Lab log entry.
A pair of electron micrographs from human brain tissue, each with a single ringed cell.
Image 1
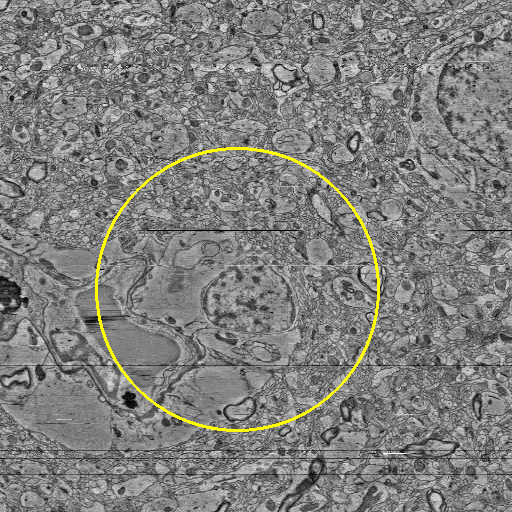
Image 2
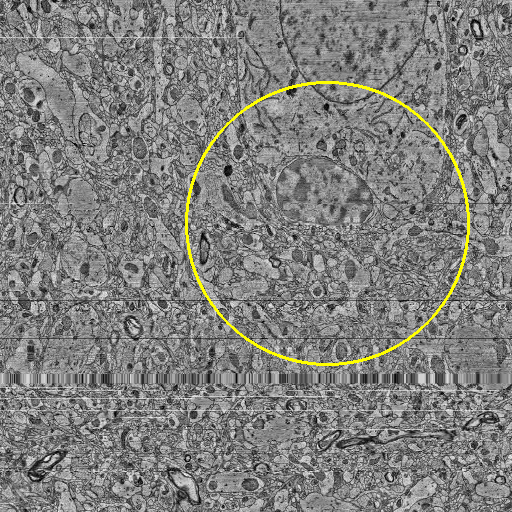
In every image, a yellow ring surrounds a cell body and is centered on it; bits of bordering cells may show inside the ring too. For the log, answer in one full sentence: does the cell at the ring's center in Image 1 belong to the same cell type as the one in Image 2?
Yes, the cells at the ring centers in Image 1 and Image 2 share one type.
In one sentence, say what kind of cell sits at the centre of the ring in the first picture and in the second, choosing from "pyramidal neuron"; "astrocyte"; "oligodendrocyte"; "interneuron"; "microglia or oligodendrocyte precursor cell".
Each of the two cells is a microglial cell or oligodendrocyte precursor cell.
